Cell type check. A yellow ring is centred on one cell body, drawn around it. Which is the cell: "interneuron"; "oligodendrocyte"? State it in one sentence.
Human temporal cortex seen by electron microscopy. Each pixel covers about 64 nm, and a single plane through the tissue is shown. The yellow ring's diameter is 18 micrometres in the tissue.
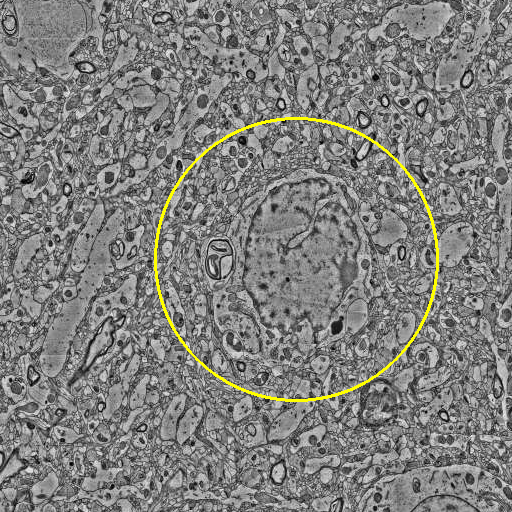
The cell body at the ring's centre belongs to an interneuron.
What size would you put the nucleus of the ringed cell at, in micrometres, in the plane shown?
The nucleus is approximately 10 micrometers long by 7 micrometers wide in this plane.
